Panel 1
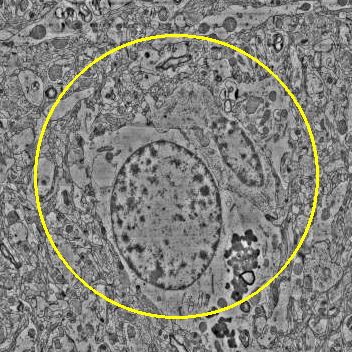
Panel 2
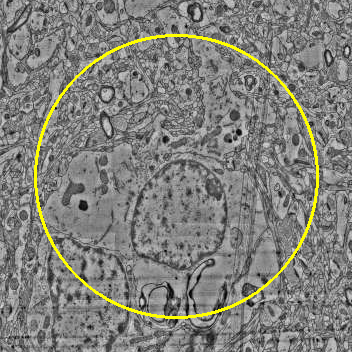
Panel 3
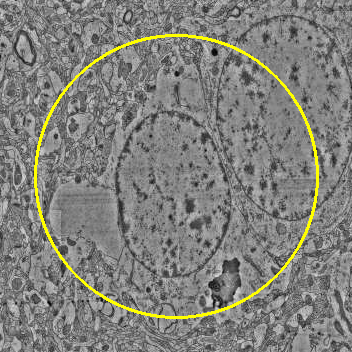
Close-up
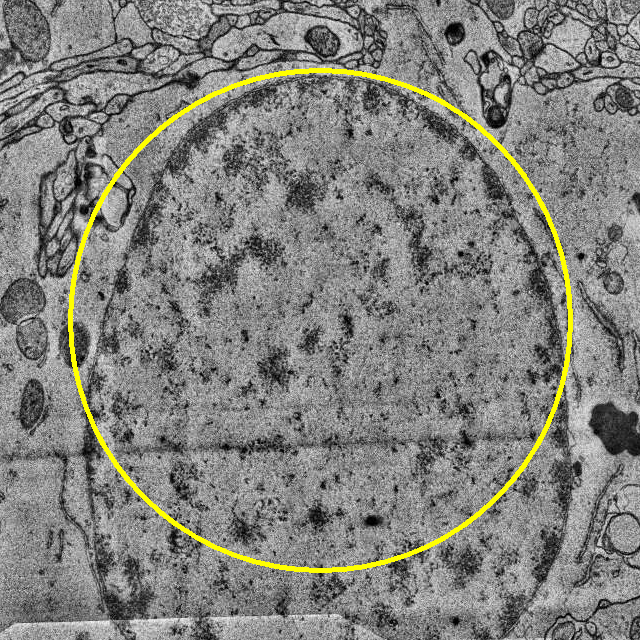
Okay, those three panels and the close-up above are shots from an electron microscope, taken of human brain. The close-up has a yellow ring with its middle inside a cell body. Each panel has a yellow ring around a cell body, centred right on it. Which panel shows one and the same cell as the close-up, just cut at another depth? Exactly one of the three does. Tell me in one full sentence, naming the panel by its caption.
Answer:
The cell shown in the close-up is the one marked in Panel 2.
